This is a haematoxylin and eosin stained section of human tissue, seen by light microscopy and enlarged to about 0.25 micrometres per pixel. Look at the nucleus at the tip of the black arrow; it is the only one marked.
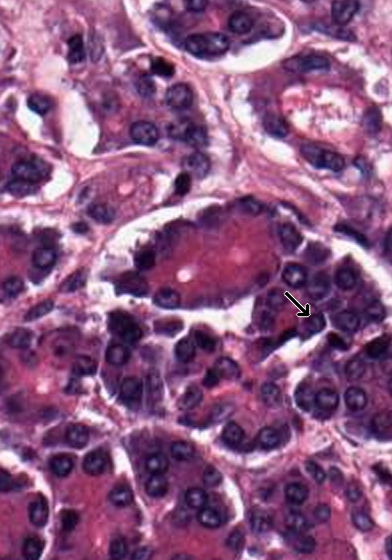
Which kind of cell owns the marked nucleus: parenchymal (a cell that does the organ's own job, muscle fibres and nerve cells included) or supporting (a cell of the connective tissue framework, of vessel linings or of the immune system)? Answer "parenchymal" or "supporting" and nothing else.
parenchymal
